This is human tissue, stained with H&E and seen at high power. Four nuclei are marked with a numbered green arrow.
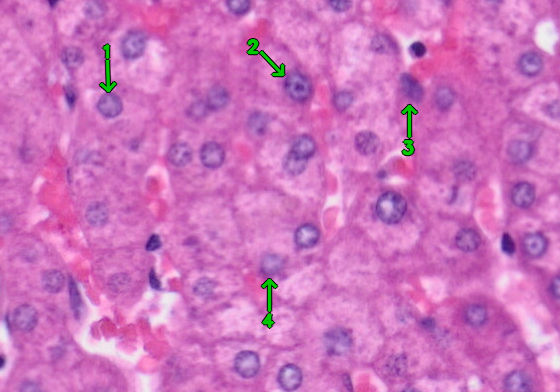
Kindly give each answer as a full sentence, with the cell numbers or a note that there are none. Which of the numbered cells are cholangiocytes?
Of the numbered cells, none are cholangiocytes.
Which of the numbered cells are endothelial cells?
In contrast to the remaining marked cells, cell 3 is an endothelial cell.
